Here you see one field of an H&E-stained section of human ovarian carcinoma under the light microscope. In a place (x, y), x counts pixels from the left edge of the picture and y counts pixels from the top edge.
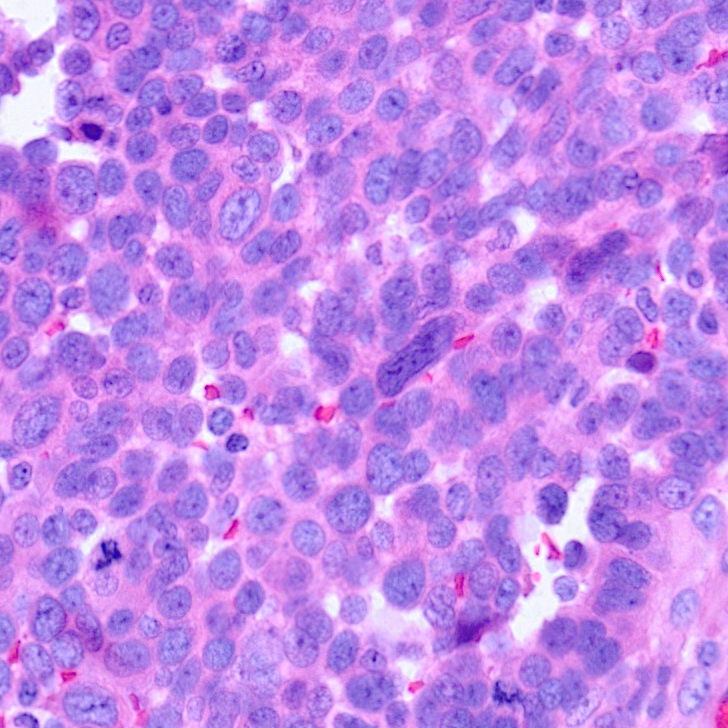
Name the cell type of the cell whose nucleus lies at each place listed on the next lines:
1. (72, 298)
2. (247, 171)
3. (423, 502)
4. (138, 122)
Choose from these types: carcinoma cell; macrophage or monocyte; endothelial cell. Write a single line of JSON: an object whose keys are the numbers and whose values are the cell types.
{"1": "macrophage or monocyte", "2": "macrophage or monocyte", "3": "carcinoma cell", "4": "carcinoma cell"}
